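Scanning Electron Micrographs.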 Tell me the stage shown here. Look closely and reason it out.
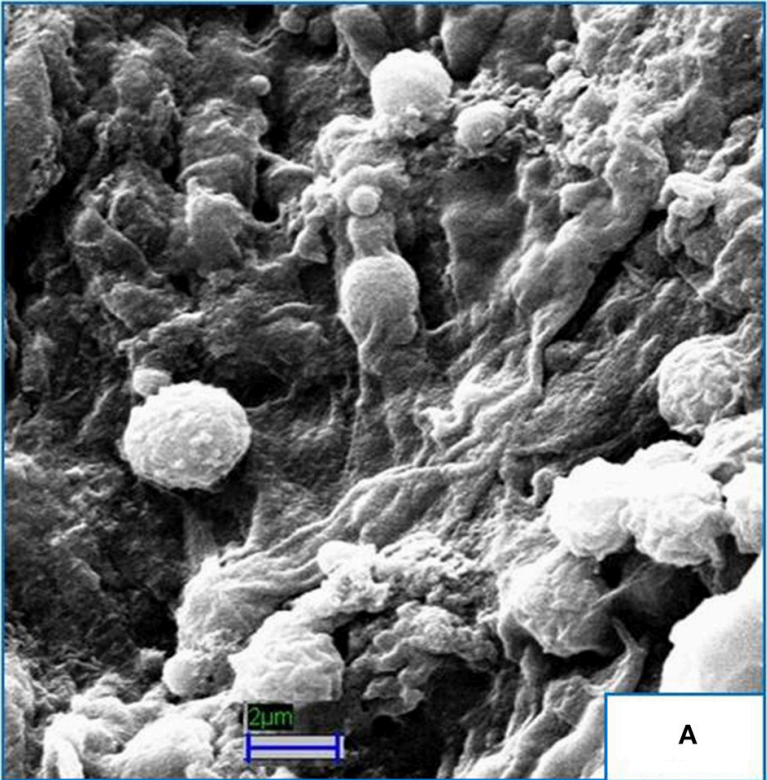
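Spherical. A few isolated round, ball-like bodies sit on a fibrous, folded background.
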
